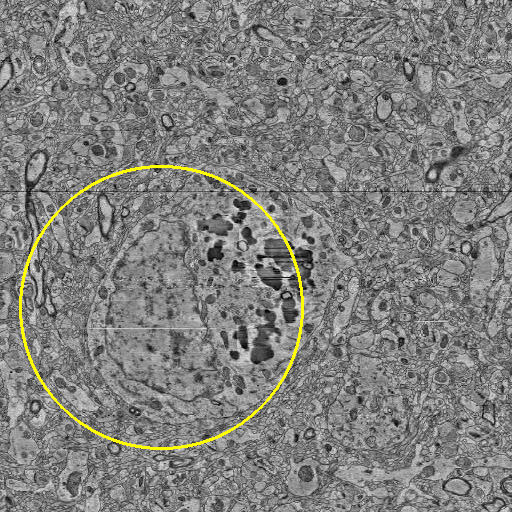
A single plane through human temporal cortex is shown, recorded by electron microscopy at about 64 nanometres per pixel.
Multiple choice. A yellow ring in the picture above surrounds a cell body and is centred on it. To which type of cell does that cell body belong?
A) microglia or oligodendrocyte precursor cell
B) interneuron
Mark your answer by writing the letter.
B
